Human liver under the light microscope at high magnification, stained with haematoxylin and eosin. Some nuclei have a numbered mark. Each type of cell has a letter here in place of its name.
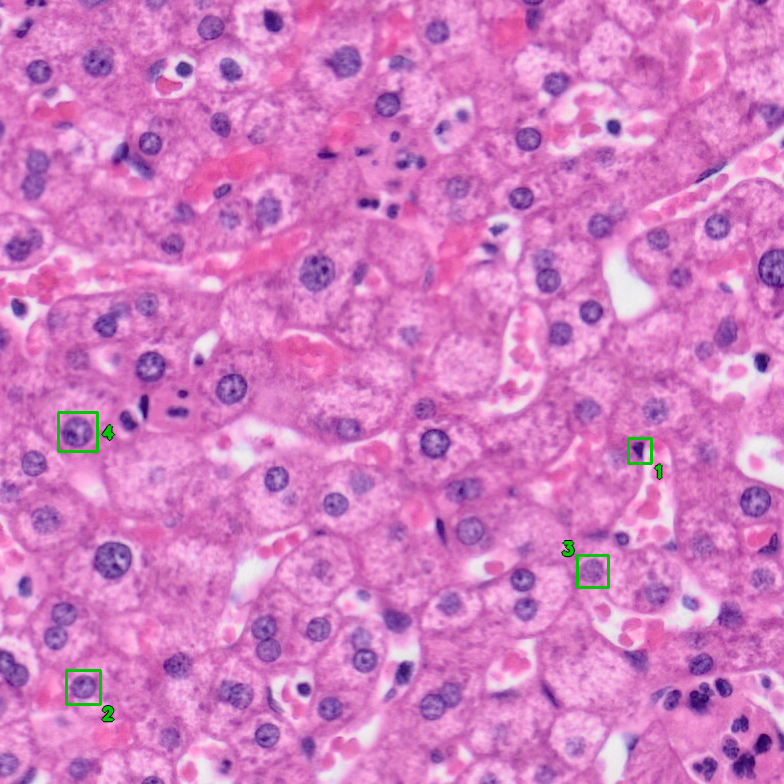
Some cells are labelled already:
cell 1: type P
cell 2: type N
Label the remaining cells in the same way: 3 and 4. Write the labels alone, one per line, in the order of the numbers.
type N
type N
